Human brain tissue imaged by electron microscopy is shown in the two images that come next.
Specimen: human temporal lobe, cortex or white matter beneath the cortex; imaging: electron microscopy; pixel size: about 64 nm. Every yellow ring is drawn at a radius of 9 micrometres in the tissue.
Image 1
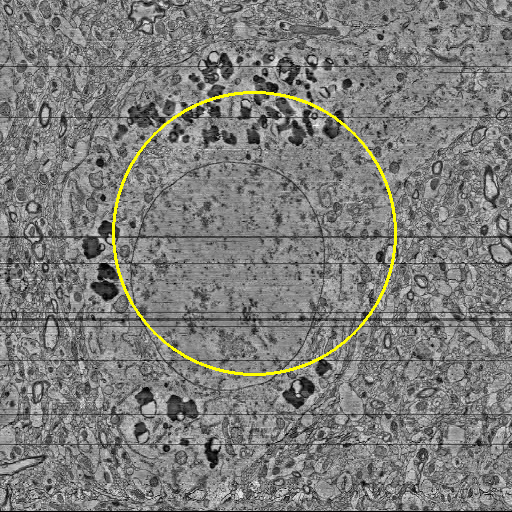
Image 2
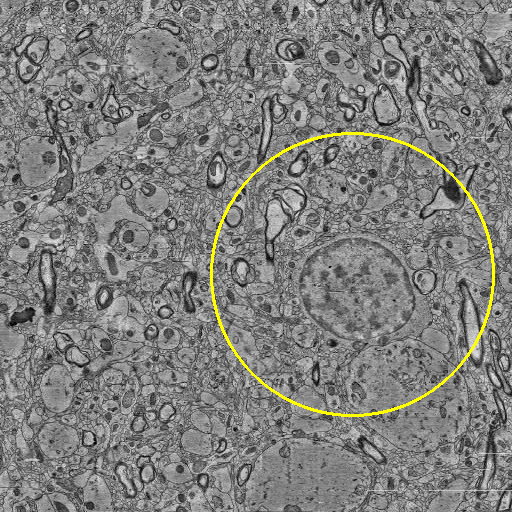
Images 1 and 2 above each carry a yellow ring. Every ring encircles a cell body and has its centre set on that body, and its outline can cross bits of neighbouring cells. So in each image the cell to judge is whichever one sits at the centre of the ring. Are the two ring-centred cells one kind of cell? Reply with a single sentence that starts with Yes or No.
No, in Image 1 and Image 2 the cells at the centres of their rings fall into two types.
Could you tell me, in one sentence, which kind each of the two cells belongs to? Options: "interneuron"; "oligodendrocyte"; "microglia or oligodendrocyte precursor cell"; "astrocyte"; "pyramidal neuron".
At the centre of the first ring sits a pyramidal neuron, and at the centre of the second sits an oligodendrocyte.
